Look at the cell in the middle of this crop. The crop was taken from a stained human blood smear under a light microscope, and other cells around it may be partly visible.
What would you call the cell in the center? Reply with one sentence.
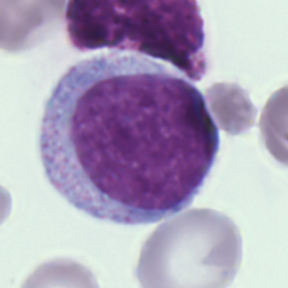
The single cell at the center of the crop is a promyelocyte.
